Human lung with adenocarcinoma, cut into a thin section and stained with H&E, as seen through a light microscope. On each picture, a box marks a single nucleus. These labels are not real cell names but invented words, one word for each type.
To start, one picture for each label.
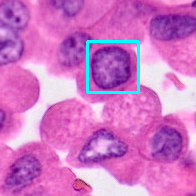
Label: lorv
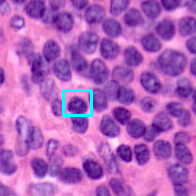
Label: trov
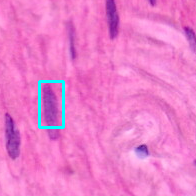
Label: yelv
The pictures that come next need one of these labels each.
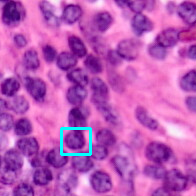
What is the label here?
trov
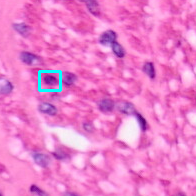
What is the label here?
yelv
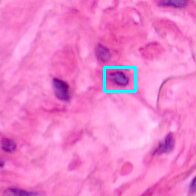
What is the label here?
yelv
